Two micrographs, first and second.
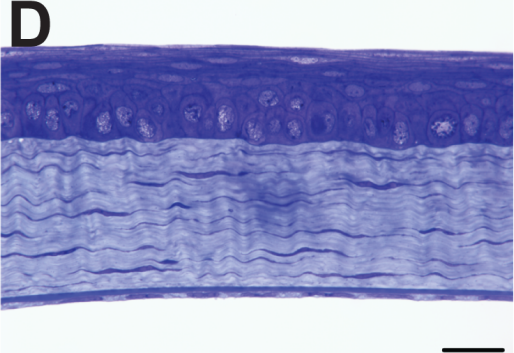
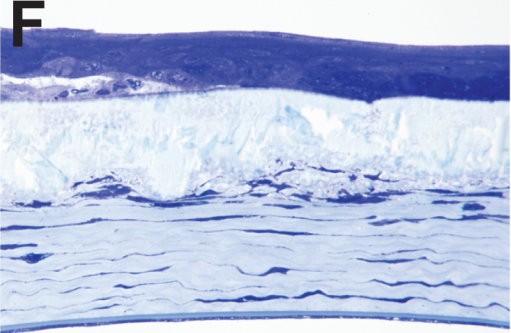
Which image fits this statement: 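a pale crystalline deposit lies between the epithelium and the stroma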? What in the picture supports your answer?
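The second image. Second image: a broad pale glassy band separates the dark epithelium from the lamellae below. First image: the epithelium rests directly on the stromal lamellae with no pale band.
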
